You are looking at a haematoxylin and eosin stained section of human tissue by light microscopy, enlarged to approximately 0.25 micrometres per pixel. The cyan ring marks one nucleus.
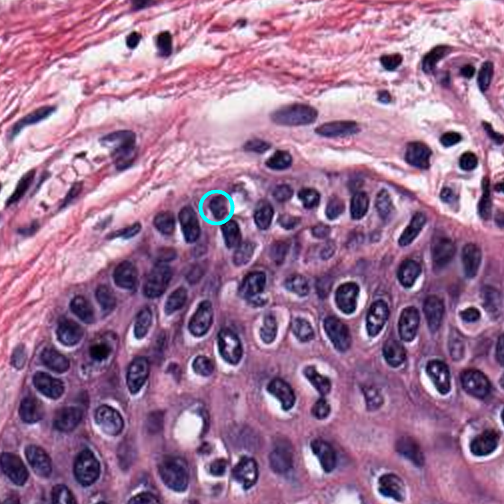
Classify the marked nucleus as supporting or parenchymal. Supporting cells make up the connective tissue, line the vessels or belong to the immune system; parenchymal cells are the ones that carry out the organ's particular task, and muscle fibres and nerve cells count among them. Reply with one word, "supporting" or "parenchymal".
parenchymal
